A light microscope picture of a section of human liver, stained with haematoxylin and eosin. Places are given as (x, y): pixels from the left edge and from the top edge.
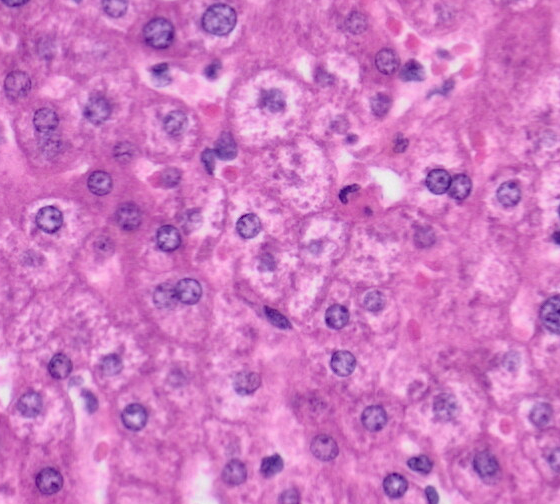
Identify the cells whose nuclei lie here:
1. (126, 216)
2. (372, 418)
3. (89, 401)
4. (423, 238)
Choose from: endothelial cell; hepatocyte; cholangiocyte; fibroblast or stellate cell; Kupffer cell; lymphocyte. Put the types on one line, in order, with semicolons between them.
hepatocyte; hepatocyte; Kupffer cell; hepatocyte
